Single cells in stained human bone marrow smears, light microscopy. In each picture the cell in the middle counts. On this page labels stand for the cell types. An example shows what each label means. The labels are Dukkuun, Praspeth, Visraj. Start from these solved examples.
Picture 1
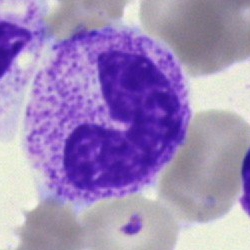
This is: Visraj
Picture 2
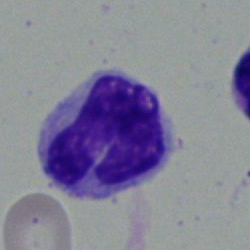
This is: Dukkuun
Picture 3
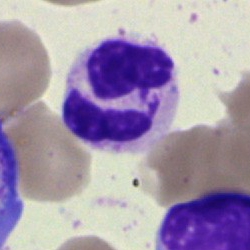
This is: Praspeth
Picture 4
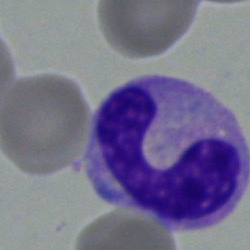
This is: Visraj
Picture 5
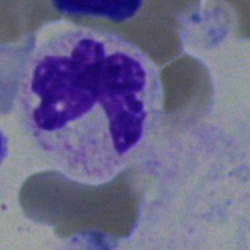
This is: Praspeth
